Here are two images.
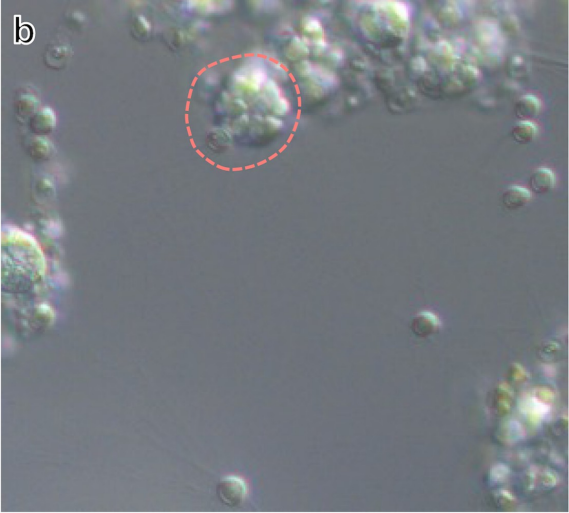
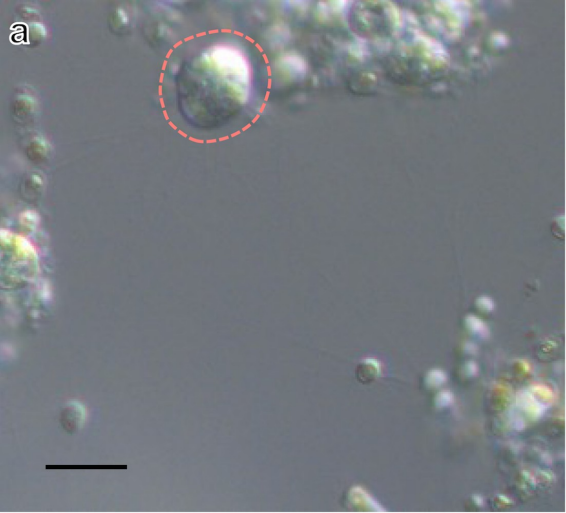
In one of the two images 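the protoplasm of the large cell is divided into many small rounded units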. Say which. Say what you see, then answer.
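First image: the outlined body is filled with many small packed rounded units. Second image: the outlined cell has granular, undivided contents. That points to this answer: the first image.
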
